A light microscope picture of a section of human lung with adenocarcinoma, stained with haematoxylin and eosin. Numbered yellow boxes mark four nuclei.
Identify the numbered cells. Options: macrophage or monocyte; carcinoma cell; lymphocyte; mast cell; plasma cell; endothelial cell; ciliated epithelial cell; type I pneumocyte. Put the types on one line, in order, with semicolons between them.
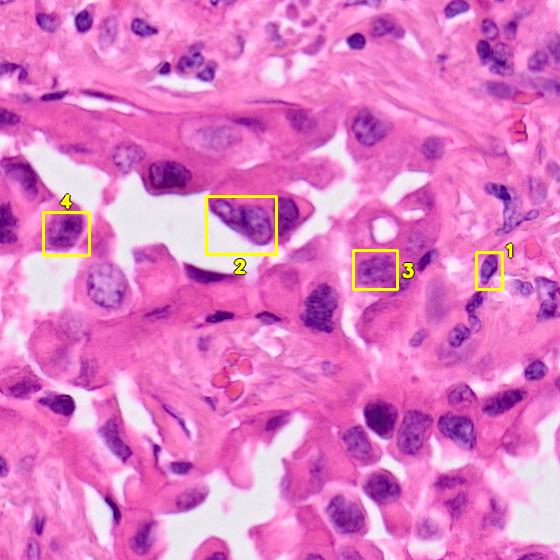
lymphocyte; carcinoma cell; carcinoma cell; carcinoma cell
